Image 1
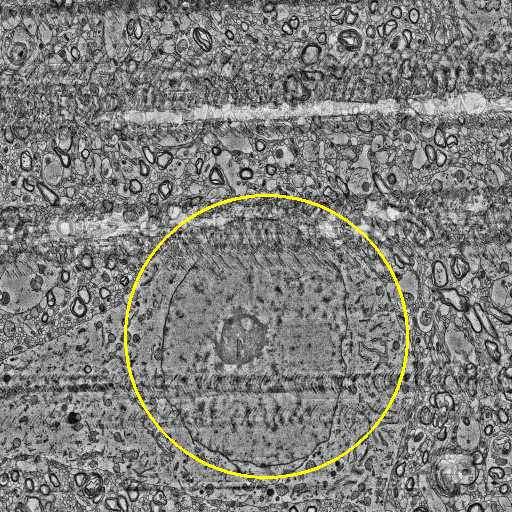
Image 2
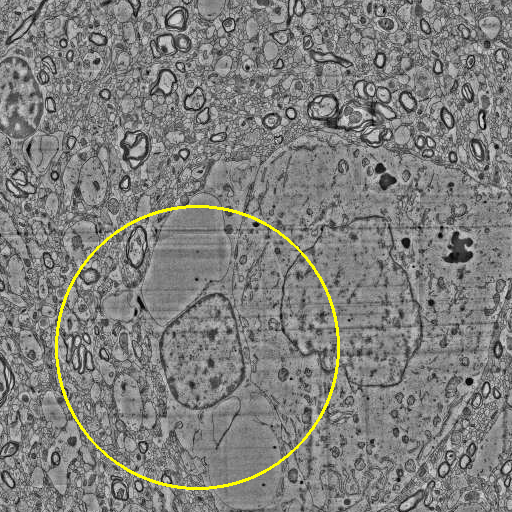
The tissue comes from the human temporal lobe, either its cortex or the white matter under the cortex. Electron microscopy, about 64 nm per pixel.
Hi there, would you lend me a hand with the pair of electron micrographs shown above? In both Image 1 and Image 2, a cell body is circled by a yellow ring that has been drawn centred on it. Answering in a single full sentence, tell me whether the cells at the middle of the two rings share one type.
No, the ringed cells in Image 1 and Image 2 belong to two types.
